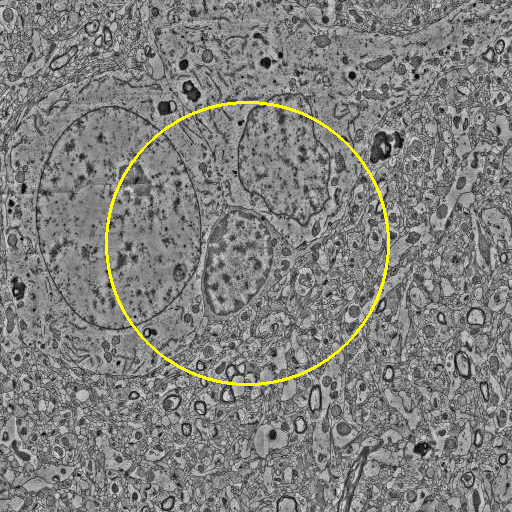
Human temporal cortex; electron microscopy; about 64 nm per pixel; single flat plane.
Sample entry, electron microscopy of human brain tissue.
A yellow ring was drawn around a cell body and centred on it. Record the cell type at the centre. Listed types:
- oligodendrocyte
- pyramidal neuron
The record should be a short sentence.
The cell at the ring's centre is an oligodendrocyte.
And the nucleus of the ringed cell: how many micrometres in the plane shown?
In this plane the nucleus is clearly longer than it is wide: roughly 7 by 4 micrometres.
